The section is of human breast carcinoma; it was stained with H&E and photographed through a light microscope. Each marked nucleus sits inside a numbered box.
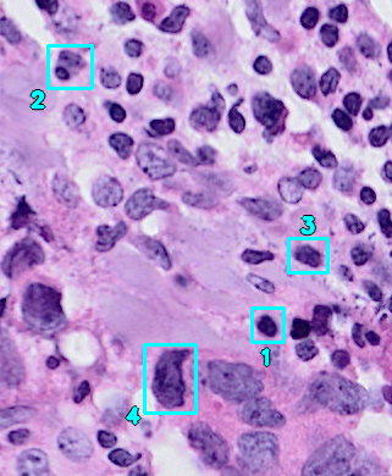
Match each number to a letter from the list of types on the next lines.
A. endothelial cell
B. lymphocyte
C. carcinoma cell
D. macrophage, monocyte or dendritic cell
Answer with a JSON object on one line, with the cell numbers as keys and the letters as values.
{"1": "B", "2": "B", "3": "B", "4": "C"}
